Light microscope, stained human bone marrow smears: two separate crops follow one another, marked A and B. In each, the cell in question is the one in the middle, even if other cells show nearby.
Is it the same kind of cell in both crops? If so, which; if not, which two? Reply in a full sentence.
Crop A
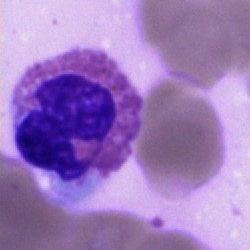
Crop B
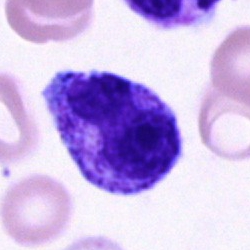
No, the middle of crop A holds an eosinophil, and the middle of crop B holds a metamyelocyte.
